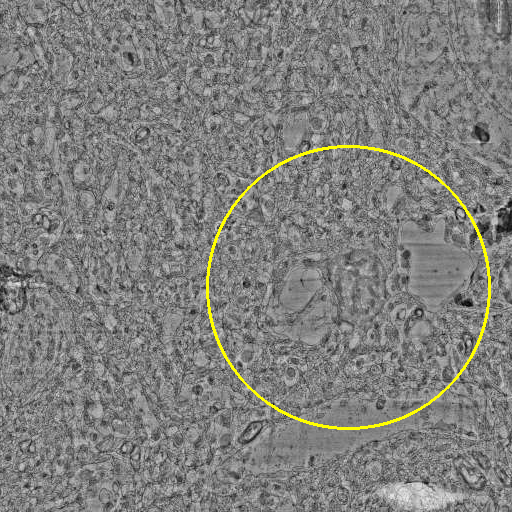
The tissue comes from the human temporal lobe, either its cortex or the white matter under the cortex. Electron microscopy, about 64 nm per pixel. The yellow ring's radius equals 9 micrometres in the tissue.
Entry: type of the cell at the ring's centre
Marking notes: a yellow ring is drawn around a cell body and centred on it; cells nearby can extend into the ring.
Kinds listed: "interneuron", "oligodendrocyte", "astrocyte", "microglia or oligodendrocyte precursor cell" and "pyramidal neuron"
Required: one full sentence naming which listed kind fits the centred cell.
My entry names an oligodendrocyte as the cell whose body the yellow ring centres on.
